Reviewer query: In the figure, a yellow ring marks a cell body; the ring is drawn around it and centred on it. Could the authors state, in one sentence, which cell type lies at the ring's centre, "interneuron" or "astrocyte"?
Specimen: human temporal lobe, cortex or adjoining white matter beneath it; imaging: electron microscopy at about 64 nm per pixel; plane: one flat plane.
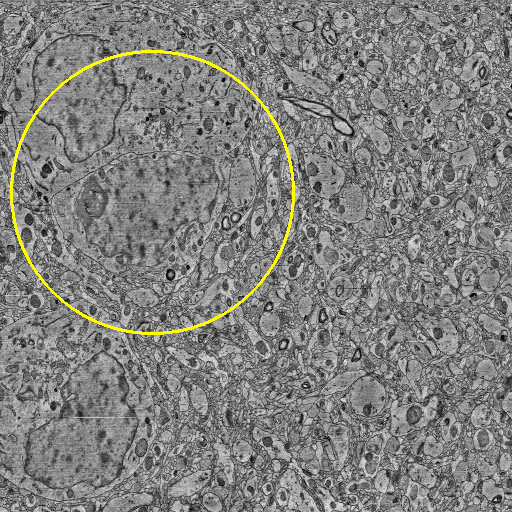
The ring is centred on an interneuron.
